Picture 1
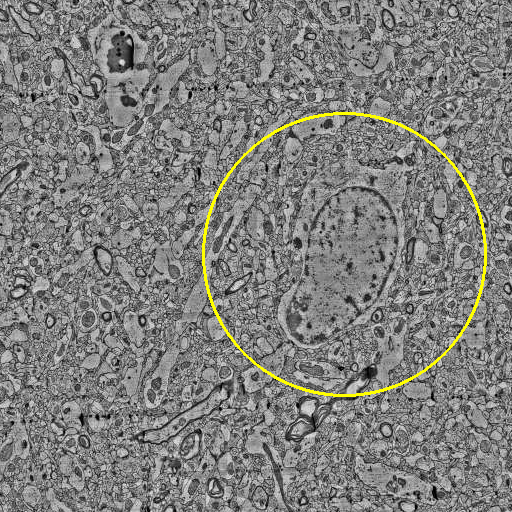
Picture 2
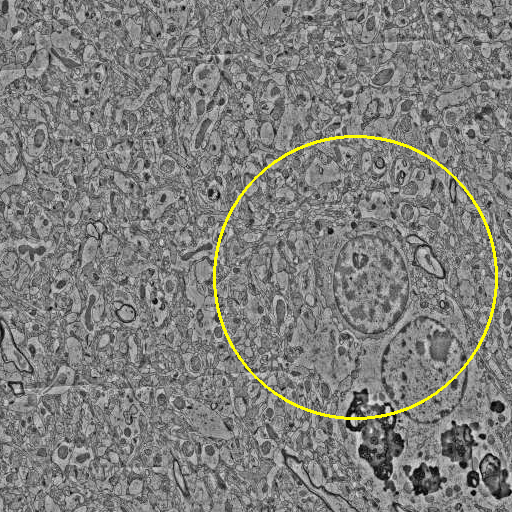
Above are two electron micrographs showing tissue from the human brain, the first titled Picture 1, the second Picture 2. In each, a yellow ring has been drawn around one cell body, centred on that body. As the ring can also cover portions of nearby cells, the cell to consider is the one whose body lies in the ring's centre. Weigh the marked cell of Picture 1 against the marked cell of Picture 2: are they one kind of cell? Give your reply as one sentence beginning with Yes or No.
No, the two cells sitting at the ring centres in the pictures are of two kinds.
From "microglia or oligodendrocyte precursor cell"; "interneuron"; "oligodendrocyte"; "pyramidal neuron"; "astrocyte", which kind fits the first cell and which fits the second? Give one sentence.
The cell marked in the first picture is a microglial cell or oligodendrocyte precursor cell, and the one marked in the second is an oligodendrocyte.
